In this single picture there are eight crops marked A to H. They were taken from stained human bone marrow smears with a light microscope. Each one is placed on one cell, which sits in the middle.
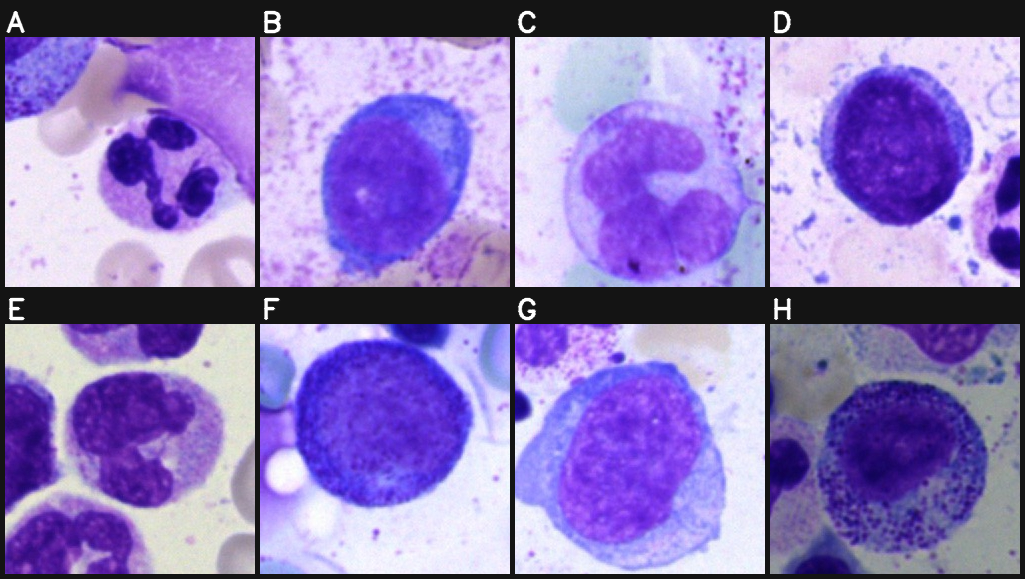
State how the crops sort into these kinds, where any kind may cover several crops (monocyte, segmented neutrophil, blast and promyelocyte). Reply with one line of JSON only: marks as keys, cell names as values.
{"A": "segmented neutrophil", "B": "blast", "C": "monocyte", "D": "blast", "E": "monocyte", "F": "promyelocyte", "G": "blast", "H": "promyelocyte"}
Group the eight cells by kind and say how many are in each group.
blast: 3
monocyte: 2
promyelocyte: 2
segmented neutrophil: 1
